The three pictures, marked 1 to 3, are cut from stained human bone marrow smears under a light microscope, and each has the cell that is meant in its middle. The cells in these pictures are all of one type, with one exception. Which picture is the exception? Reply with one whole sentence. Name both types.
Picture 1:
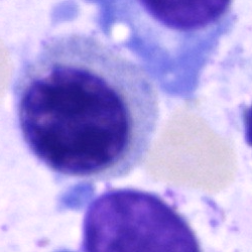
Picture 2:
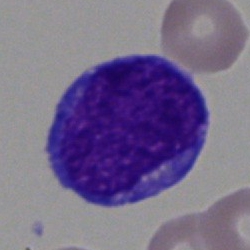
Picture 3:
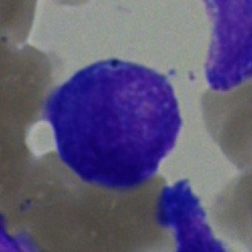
Picture 1 is the odd one out: it shows an erythroblast, while the others show blasts.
